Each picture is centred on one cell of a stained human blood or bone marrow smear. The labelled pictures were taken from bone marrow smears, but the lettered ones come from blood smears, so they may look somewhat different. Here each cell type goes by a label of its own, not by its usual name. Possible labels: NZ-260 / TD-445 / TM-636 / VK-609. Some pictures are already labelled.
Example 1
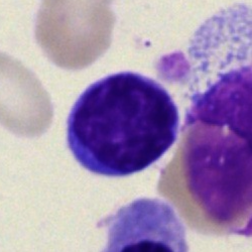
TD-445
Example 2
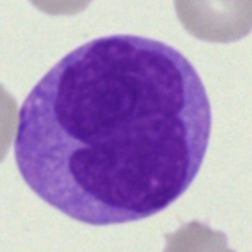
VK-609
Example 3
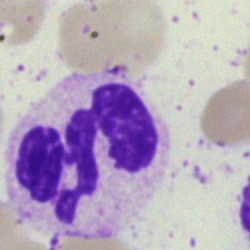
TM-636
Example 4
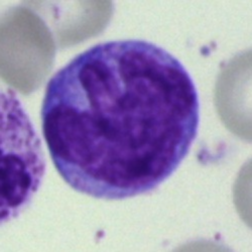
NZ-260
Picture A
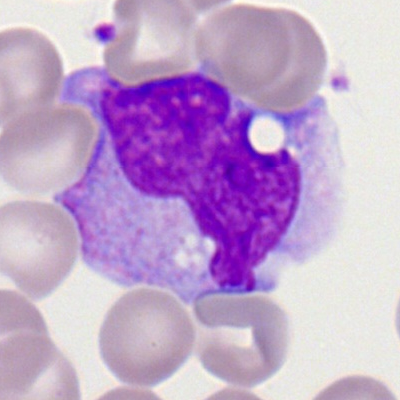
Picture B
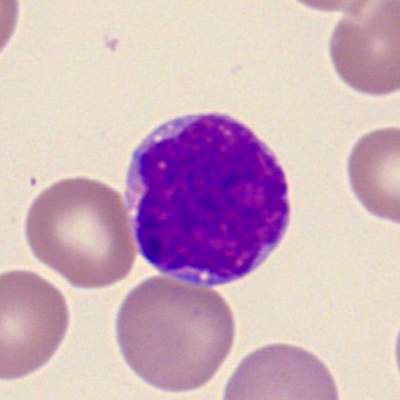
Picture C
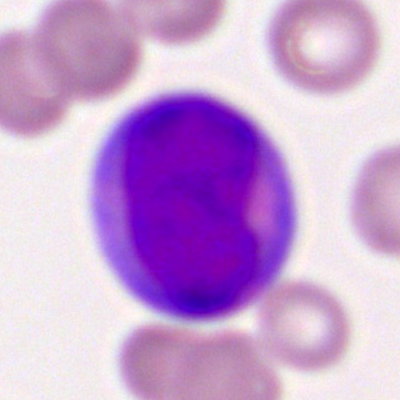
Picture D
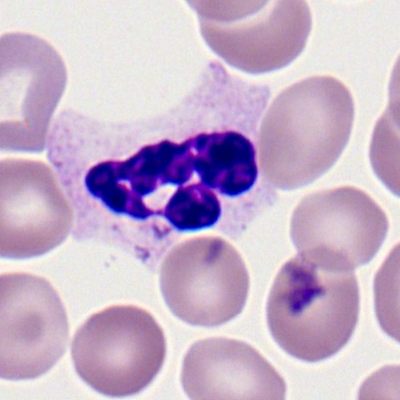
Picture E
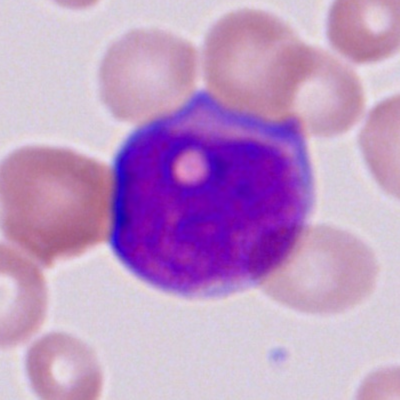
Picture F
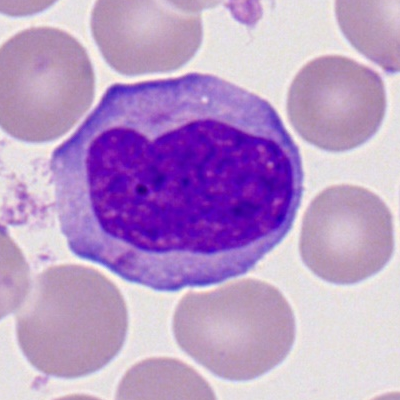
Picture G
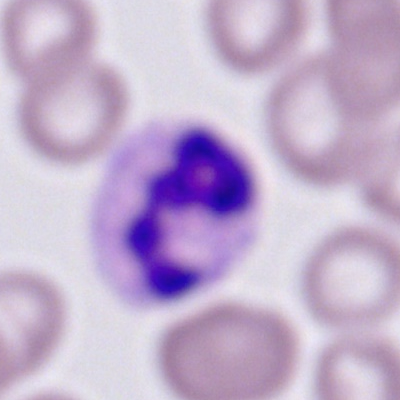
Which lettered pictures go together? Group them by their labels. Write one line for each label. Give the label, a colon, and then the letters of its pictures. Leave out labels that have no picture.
NZ-260: A, F
TM-636: D, G
VK-609: B, C, E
